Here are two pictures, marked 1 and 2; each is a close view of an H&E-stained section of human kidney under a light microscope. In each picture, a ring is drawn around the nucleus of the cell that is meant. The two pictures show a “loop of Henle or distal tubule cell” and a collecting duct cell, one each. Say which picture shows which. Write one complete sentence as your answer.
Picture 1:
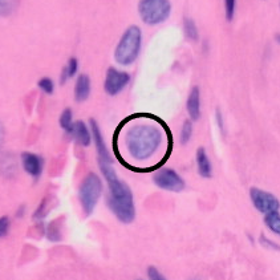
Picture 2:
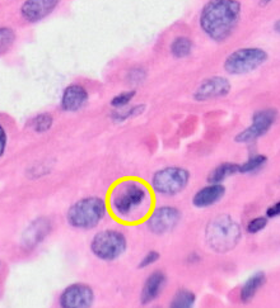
Picture 1 shows a collecting duct cell and picture 2 shows a “loop of Henle or distal tubule cell”.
